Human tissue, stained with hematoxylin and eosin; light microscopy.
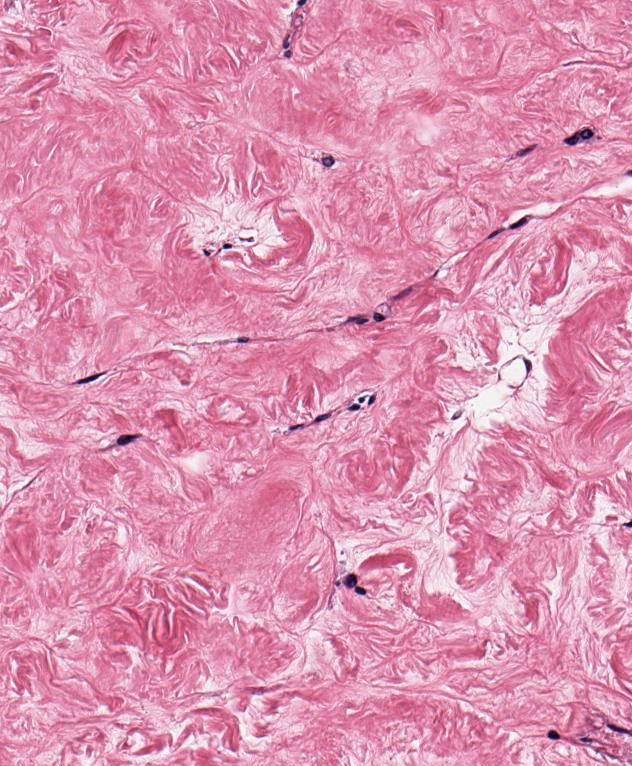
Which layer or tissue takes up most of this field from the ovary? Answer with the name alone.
corpus albicans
